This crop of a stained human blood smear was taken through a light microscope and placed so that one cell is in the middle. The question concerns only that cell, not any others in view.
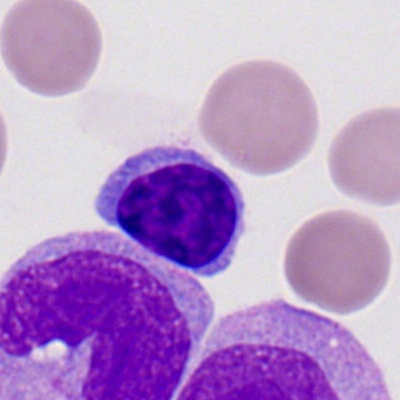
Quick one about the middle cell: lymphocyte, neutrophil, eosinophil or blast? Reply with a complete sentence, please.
Centrally within this crop lies a lymphocyte.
